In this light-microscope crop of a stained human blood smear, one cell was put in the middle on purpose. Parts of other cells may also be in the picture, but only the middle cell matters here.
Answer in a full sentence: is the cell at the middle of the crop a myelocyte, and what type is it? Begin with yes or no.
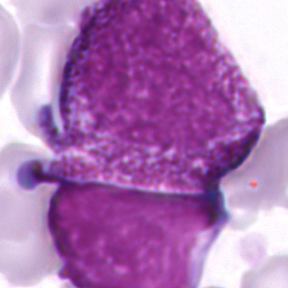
No, what sits in the centre of the crop is a promyelocyte rather than a myelocyte.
